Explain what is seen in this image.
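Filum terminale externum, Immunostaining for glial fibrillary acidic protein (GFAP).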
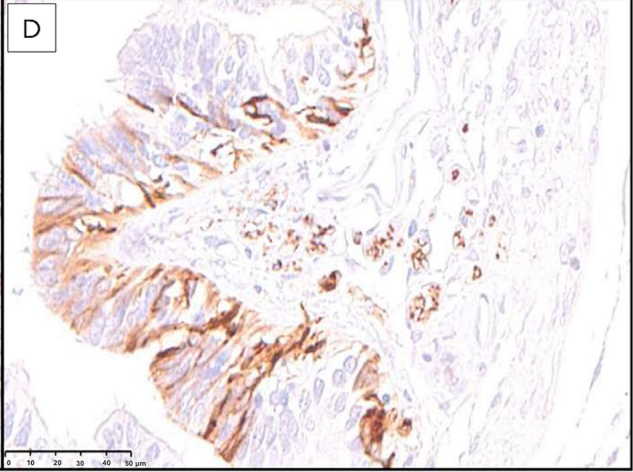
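Here the wall of the central canal is seen at high power, with ependymal cells forming a columnar lining and astrocytes stained brown. Slender brown processes run between the pale lining cells, with their blue oval nuclei, reaching toward the lumen. Beneath the lining, small brown stained cell bodies and fragments are scattered in the pale surrounding tissue.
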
